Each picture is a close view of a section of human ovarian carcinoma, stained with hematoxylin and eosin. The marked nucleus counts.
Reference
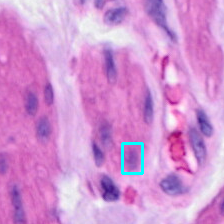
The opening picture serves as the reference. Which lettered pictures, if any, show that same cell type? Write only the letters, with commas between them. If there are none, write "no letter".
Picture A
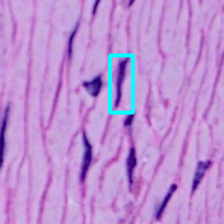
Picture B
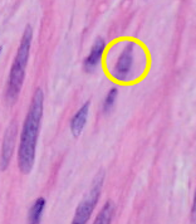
B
